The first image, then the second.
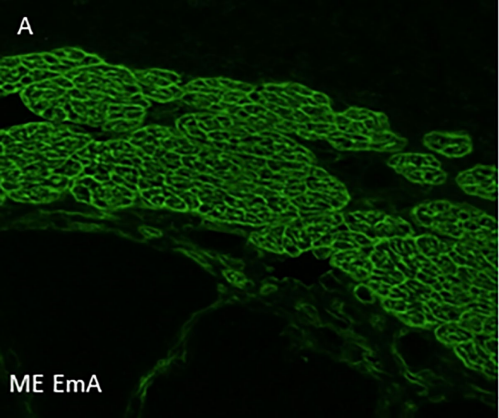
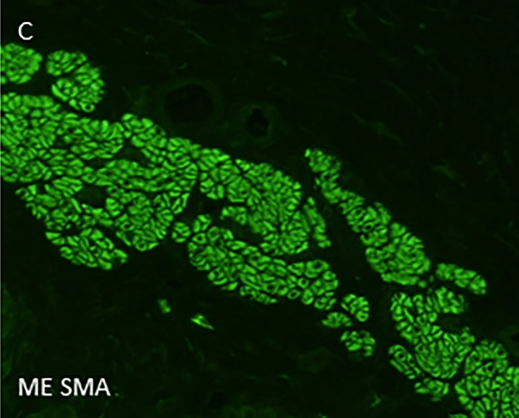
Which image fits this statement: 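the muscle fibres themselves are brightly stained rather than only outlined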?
the second image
